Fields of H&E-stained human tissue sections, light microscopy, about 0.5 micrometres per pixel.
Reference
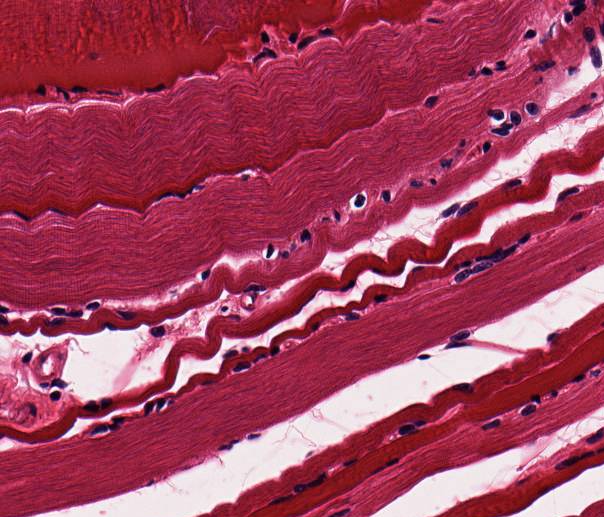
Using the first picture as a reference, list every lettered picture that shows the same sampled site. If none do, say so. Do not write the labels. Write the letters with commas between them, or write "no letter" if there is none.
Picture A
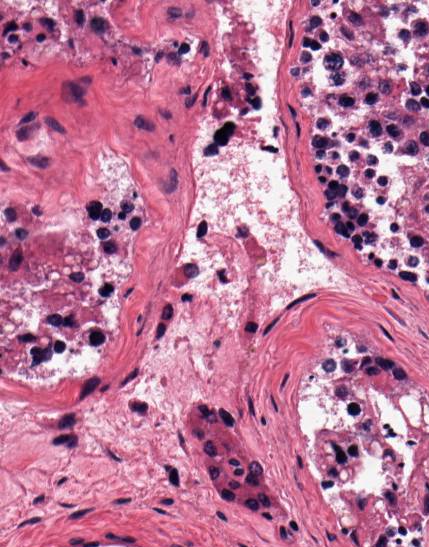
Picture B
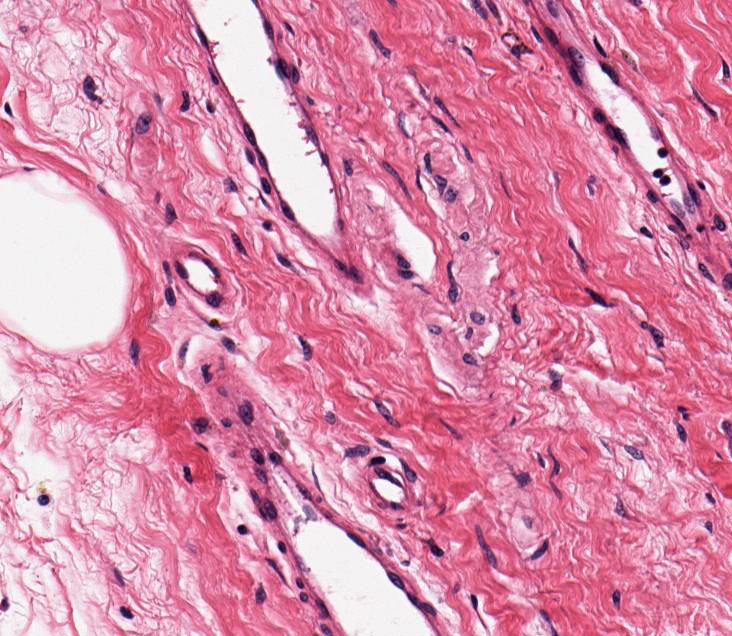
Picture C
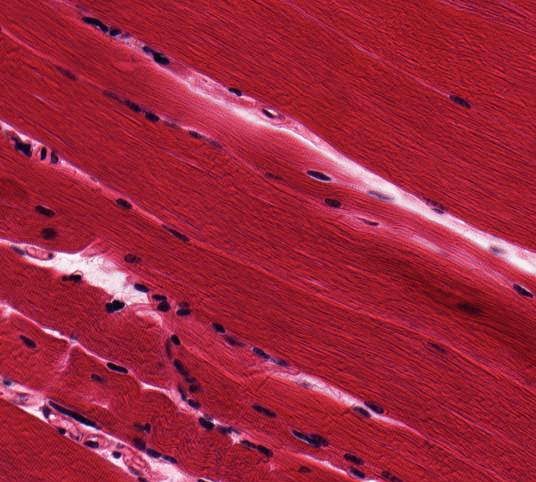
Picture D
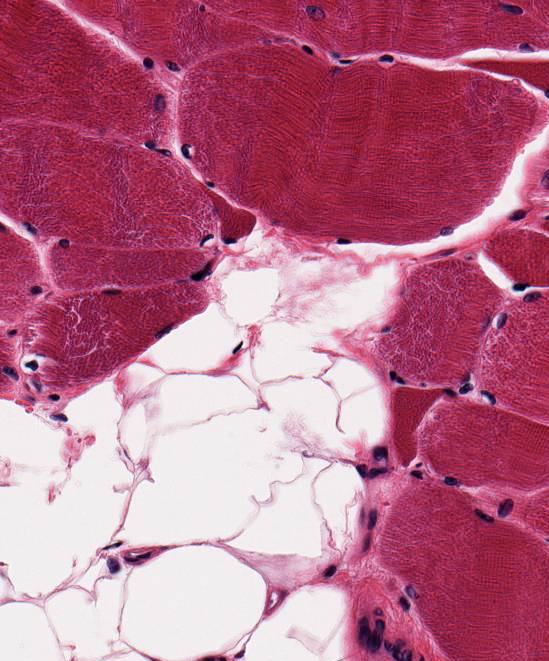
B, C, D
